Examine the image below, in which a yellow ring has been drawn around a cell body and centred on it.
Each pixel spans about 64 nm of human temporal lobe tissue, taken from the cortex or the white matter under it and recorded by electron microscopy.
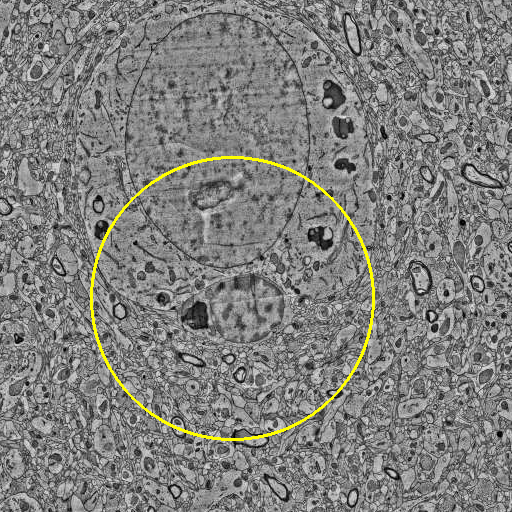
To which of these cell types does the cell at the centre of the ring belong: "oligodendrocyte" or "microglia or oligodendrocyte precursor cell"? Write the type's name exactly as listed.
oligodendrocyte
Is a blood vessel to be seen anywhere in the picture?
No.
